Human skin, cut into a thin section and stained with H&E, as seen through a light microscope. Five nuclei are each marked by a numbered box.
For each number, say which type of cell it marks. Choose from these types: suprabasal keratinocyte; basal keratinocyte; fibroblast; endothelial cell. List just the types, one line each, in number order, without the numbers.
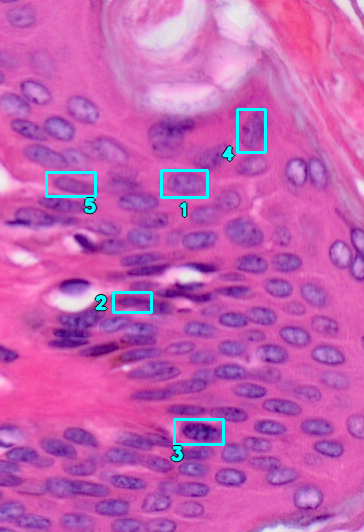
suprabasal keratinocyte
basal keratinocyte
basal keratinocyte
suprabasal keratinocyte
basal keratinocyte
